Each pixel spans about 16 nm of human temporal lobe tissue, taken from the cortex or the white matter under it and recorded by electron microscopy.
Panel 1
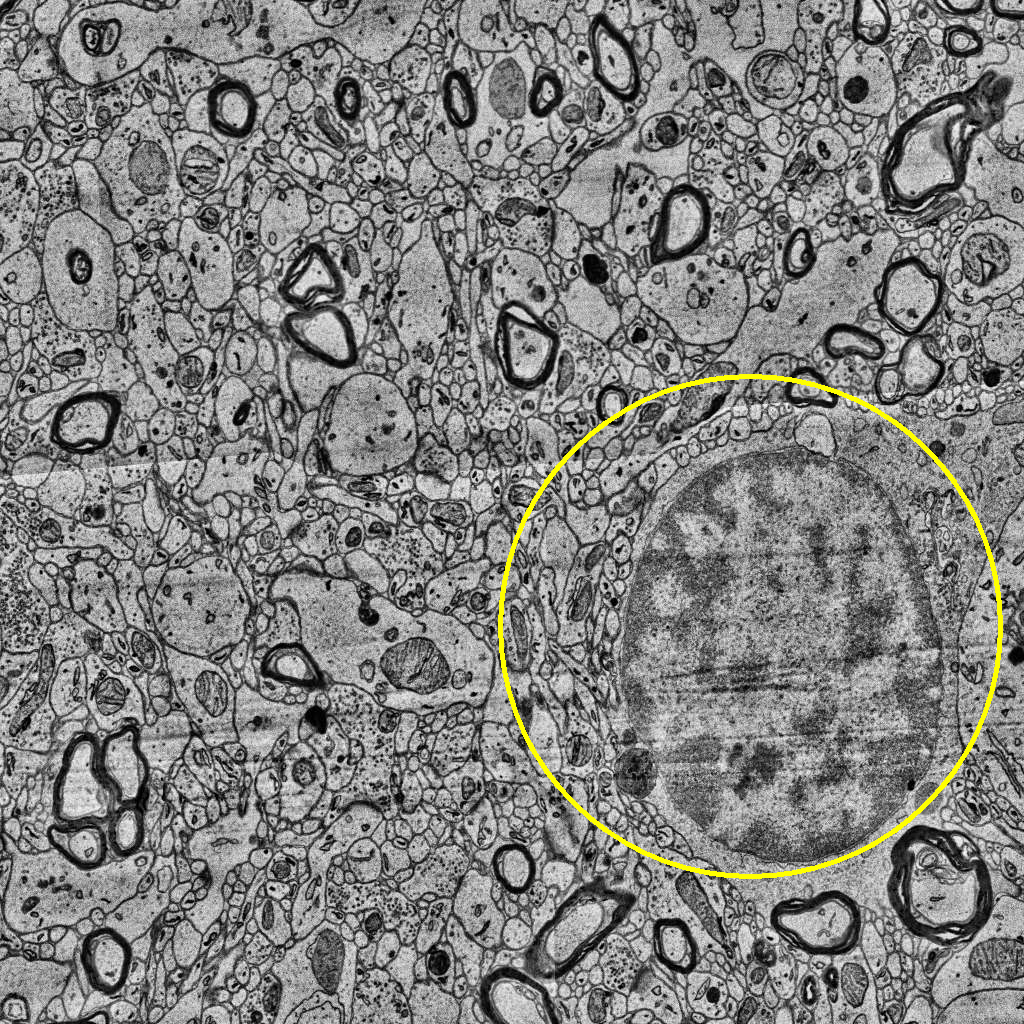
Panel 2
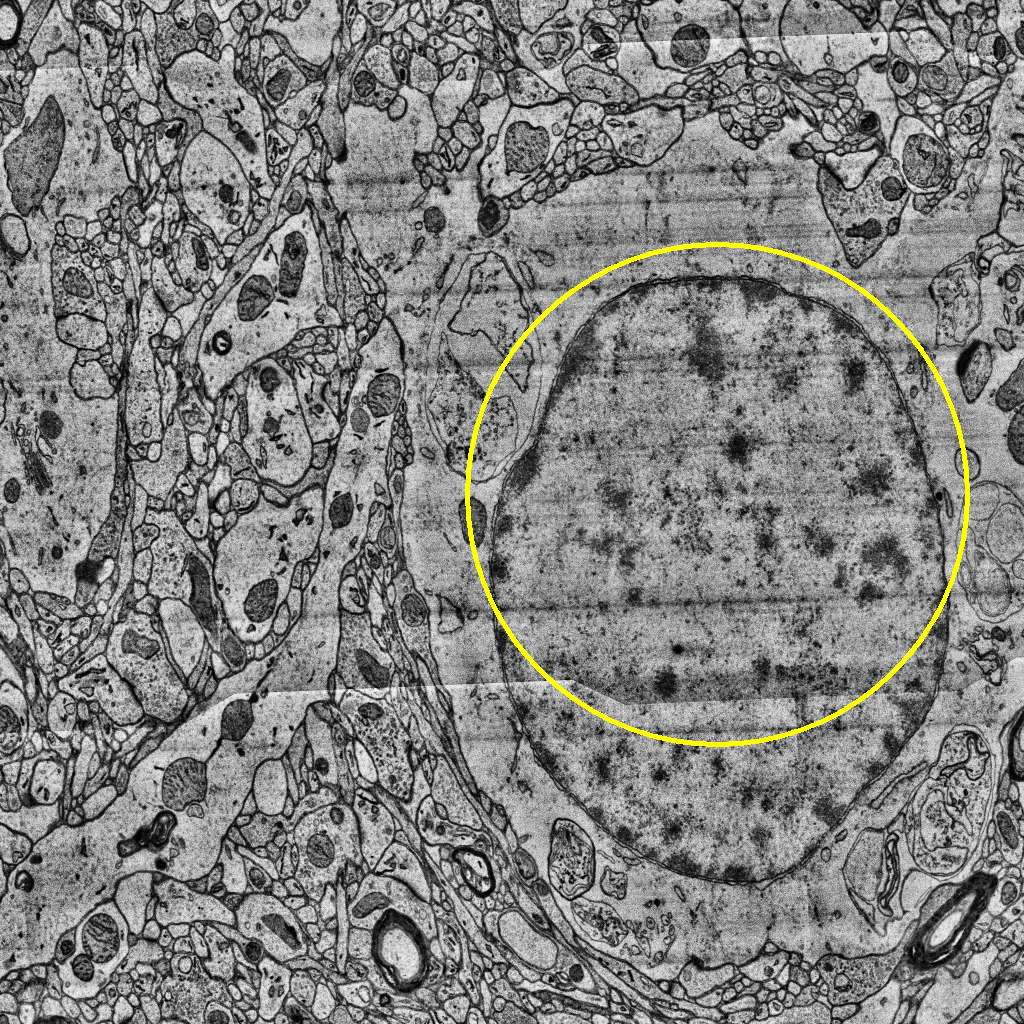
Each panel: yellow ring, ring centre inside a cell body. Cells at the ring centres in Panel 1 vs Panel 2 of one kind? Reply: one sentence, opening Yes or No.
No, Panel 1 and Panel 2 have cells of two kinds at the ring centres.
